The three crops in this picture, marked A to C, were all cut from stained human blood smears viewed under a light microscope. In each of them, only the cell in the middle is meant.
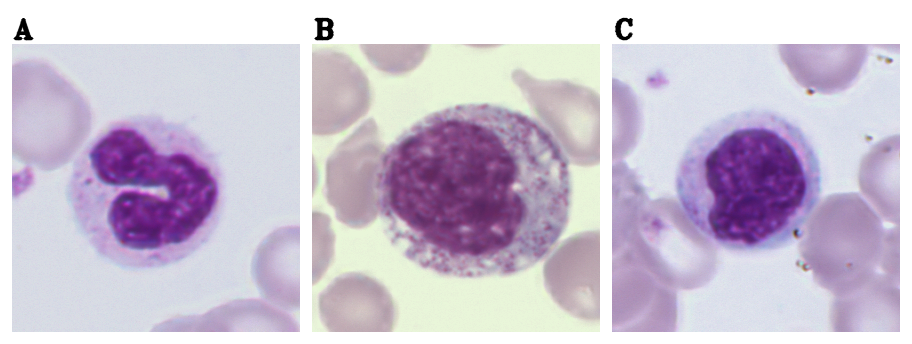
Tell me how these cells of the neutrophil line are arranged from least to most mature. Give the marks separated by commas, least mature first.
B, C, A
